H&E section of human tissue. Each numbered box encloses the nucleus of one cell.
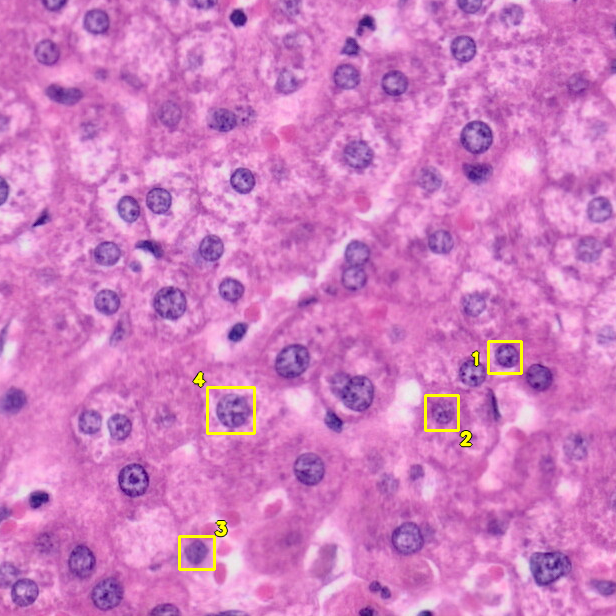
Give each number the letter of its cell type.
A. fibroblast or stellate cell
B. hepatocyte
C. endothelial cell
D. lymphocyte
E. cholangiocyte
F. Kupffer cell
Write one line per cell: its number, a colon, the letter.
1: B
2: B
3: F
4: B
